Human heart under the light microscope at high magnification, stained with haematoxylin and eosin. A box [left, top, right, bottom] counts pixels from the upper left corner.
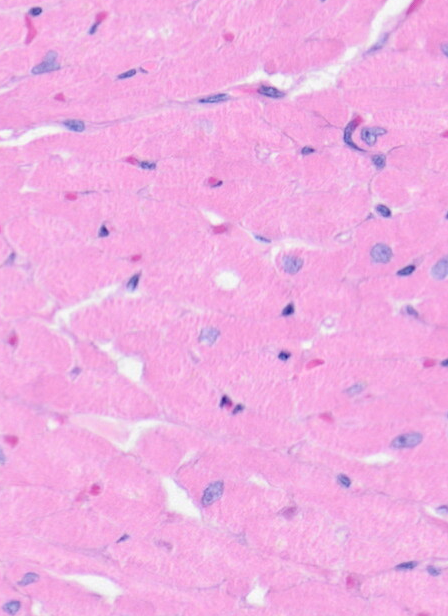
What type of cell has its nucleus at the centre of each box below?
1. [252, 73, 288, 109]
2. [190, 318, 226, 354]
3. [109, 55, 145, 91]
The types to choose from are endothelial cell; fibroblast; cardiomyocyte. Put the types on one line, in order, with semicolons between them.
endothelial cell; cardiomyocyte; fibroblast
